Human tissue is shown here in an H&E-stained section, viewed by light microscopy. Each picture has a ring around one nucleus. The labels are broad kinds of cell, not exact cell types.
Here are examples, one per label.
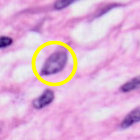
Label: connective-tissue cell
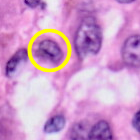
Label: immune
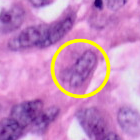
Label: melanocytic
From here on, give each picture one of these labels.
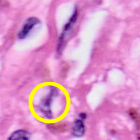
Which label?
connective-tissue cell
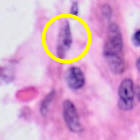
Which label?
connective-tissue cell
